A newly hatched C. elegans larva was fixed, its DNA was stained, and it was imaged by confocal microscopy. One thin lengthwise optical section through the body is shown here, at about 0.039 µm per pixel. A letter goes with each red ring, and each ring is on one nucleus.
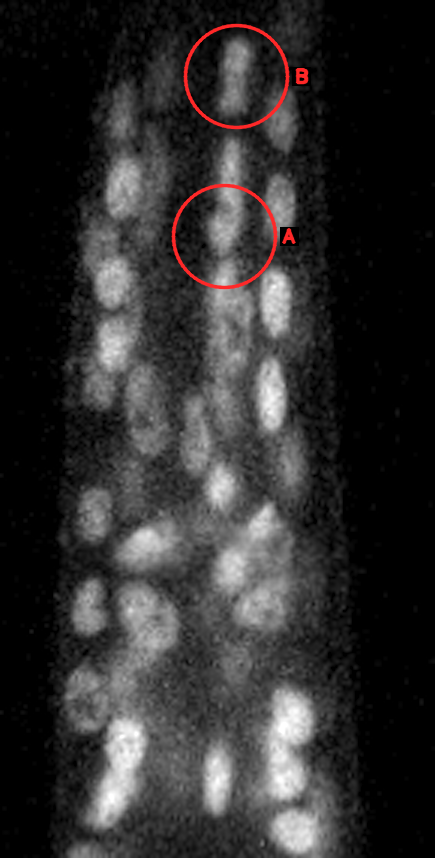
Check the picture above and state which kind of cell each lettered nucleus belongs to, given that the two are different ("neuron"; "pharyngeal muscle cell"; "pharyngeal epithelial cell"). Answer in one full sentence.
Nucleus A comes from a pharyngeal muscle cell and nucleus B from a pharyngeal epithelial cell.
